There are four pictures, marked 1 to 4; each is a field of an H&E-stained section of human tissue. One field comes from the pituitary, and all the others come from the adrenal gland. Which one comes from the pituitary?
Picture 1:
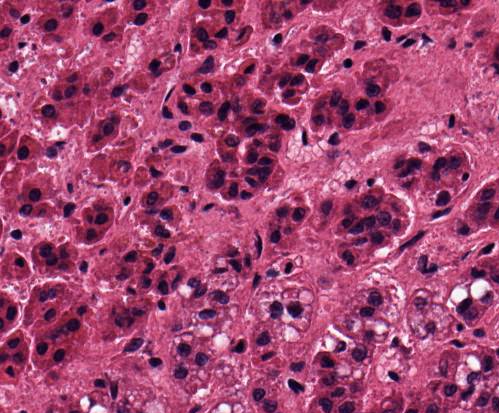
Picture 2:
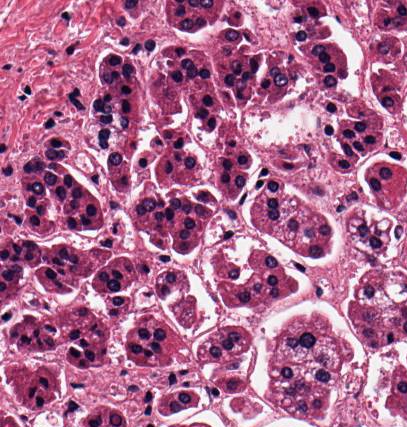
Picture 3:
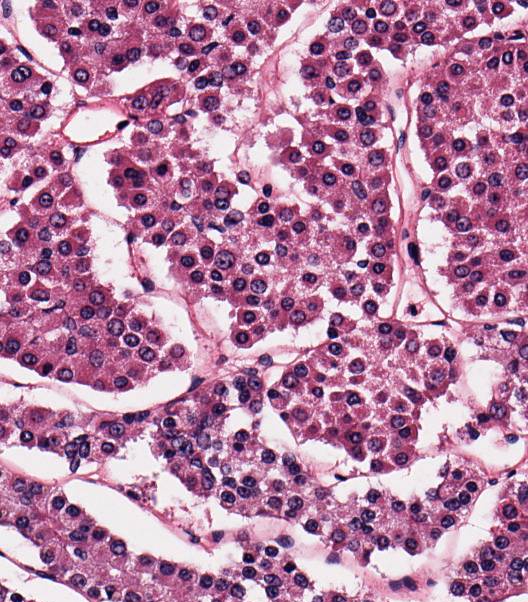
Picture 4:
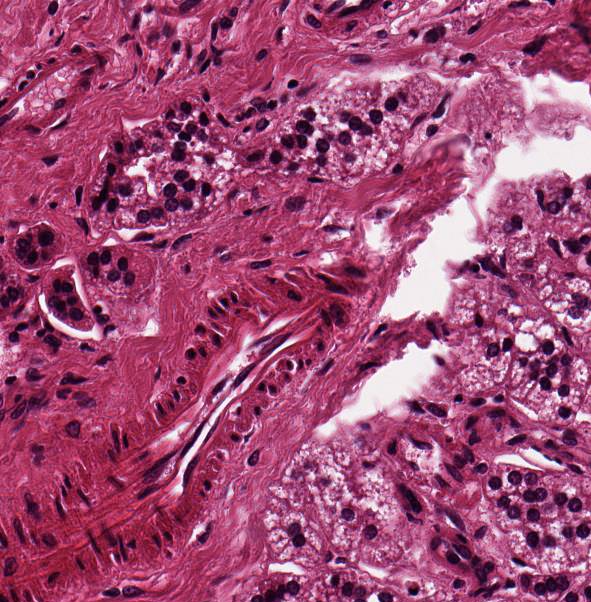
3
